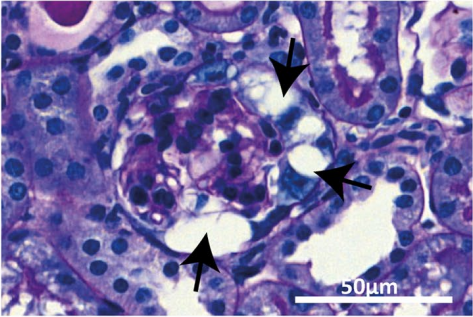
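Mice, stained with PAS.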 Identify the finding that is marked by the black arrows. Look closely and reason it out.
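The arrows point to clear, empty rounded spaces at the edge of the glomerulus. The spaces lie between the tuft and the surrounding capsule. That points to this answer: vacuolization.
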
